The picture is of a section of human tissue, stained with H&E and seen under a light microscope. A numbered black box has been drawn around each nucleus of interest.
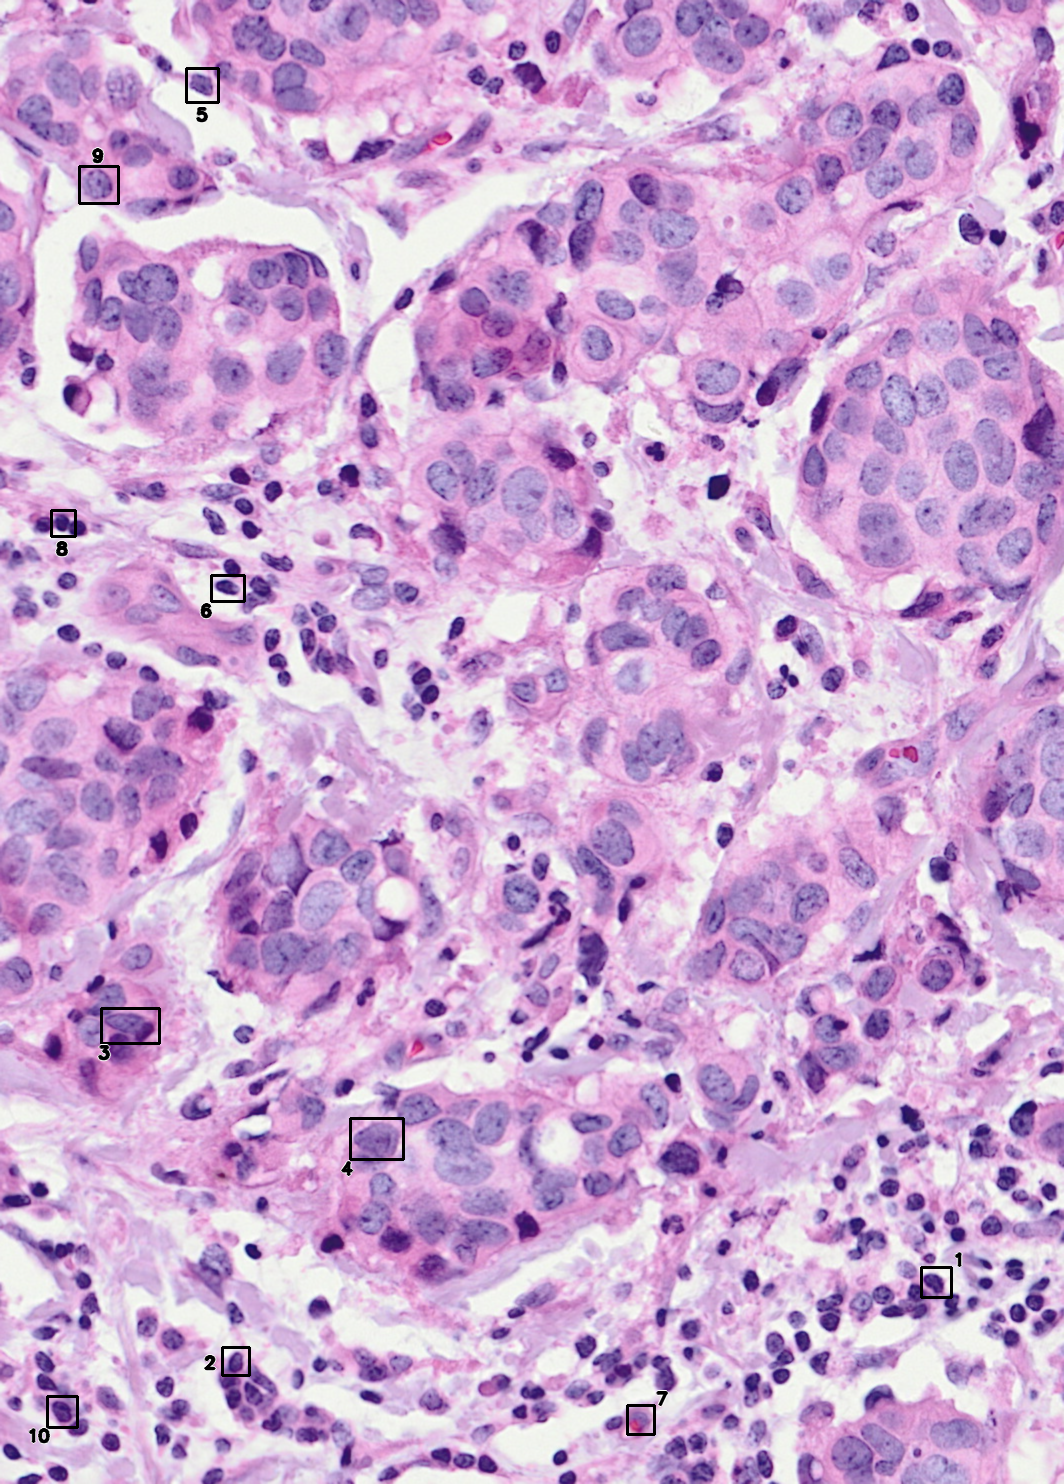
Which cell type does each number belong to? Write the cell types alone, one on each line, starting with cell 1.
lymphocyte
lymphocyte
carcinoma cell
carcinoma cell
lymphocyte
lymphocyte
endothelial cell
lymphocyte
carcinoma cell
lymphocyte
